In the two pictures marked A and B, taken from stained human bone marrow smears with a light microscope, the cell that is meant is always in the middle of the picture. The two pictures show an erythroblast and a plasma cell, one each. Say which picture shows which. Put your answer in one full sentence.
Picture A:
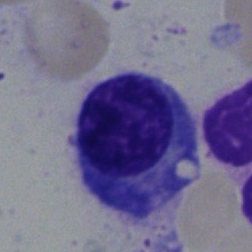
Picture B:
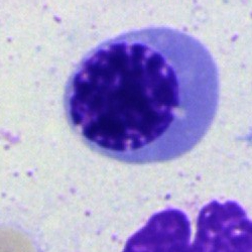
Picture A is of a plasma cell, and picture B is of an erythroblast.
